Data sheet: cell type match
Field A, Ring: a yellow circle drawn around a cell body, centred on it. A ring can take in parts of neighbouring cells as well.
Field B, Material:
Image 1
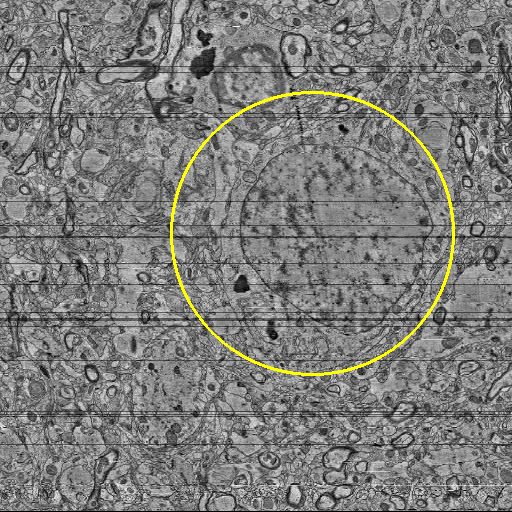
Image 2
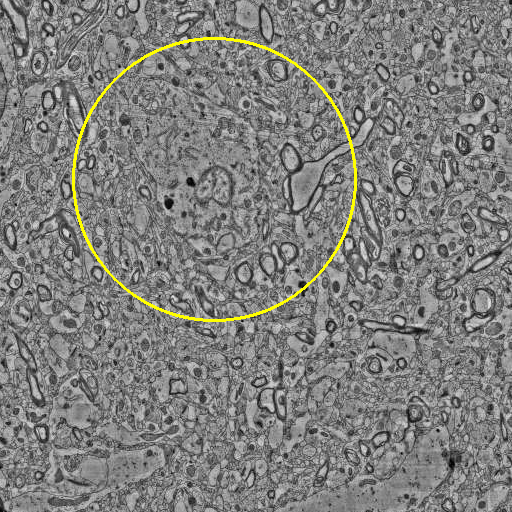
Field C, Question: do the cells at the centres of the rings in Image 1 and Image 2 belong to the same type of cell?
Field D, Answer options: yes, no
yes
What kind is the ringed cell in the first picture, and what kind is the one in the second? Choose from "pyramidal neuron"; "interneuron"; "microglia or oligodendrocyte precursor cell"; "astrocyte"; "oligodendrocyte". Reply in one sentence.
Each of the two rings is centred on a pyramidal neuron.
